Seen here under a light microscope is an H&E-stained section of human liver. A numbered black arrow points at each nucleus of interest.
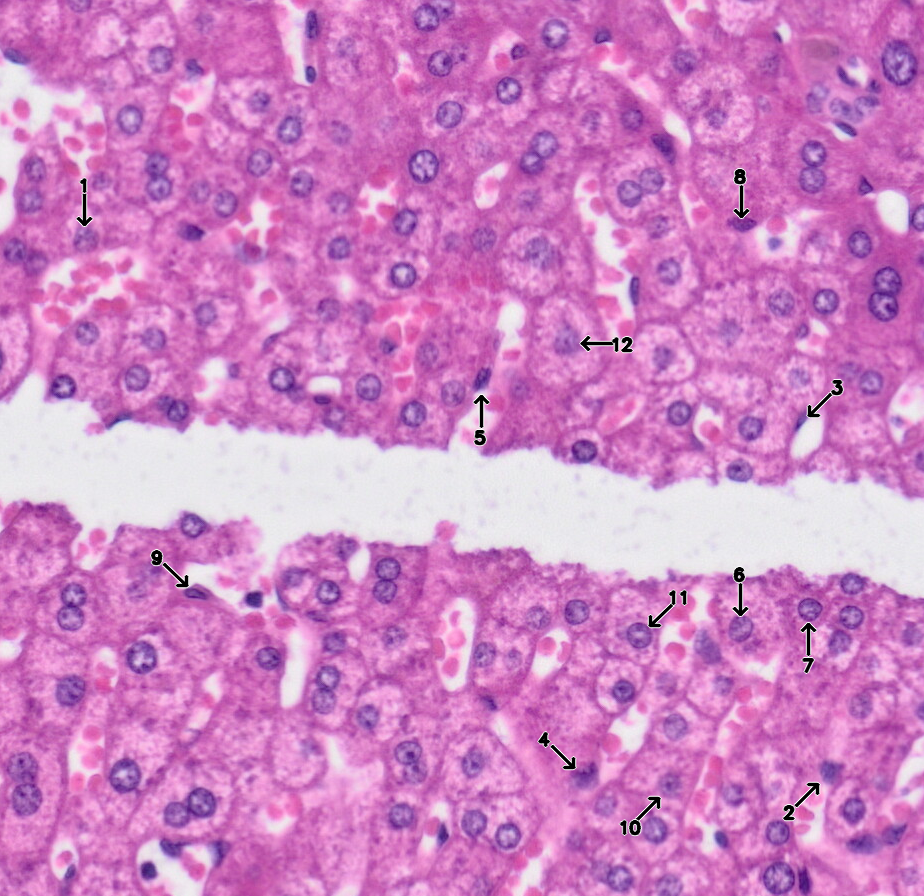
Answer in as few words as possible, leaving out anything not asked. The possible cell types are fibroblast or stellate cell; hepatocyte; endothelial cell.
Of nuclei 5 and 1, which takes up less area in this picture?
5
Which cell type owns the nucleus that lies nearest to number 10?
hepatocyte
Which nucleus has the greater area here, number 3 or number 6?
6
